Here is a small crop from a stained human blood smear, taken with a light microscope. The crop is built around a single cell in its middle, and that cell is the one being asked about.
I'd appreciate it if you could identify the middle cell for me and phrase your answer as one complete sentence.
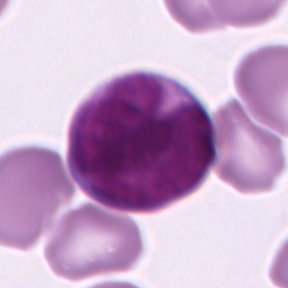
For this crop, the central cell is a myeloblast.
